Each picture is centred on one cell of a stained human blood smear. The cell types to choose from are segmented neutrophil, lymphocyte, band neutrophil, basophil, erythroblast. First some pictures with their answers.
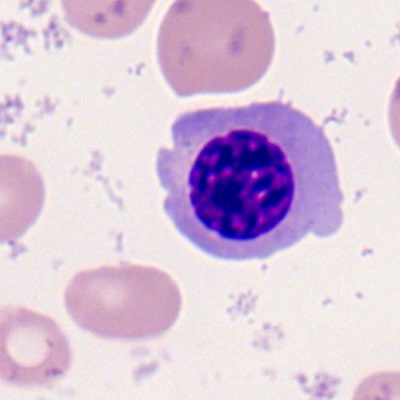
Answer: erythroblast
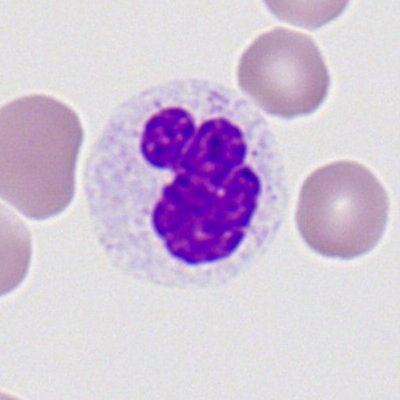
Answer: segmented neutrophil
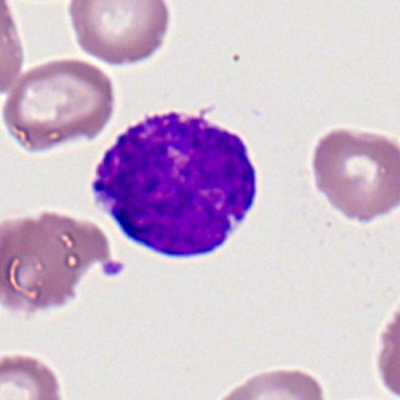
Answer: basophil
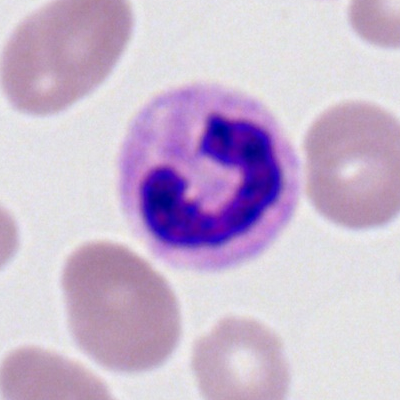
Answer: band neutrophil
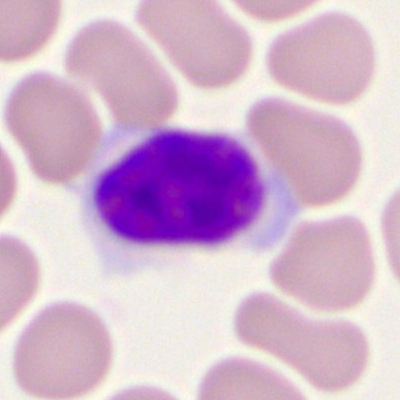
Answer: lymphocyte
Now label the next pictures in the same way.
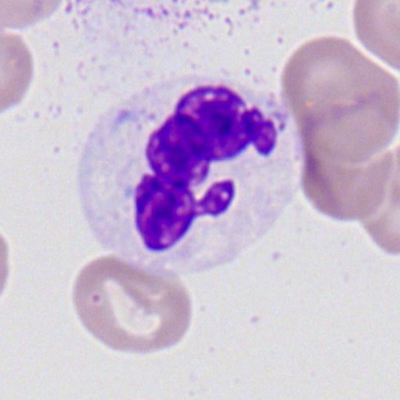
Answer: segmented neutrophil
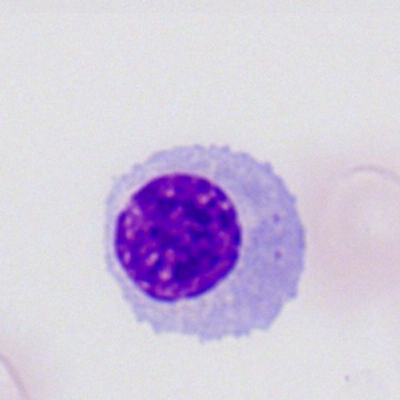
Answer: erythroblast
